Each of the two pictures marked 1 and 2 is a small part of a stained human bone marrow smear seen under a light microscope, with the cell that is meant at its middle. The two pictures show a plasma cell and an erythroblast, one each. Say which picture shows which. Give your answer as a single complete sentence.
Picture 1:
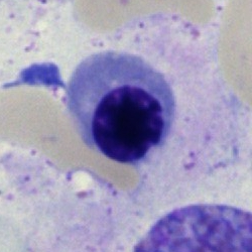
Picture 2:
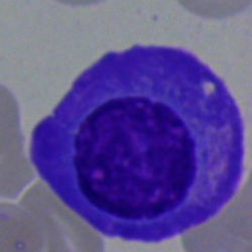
In picture 1 the cell is an erythroblast; in picture 2, a plasma cell.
